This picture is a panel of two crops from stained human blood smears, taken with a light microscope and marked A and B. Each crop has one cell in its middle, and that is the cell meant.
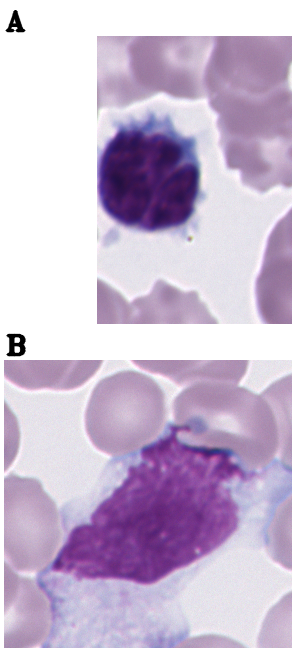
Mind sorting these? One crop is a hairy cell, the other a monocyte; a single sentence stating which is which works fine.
Well, crop A is a hairy cell, and crop B is a monocyte.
